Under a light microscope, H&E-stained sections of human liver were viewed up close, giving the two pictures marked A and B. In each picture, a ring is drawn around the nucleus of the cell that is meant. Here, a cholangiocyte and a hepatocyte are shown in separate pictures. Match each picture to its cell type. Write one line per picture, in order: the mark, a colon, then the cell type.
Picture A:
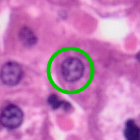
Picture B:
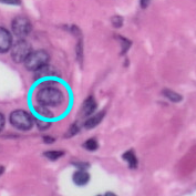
A: hepatocyte
B: cholangiocyte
